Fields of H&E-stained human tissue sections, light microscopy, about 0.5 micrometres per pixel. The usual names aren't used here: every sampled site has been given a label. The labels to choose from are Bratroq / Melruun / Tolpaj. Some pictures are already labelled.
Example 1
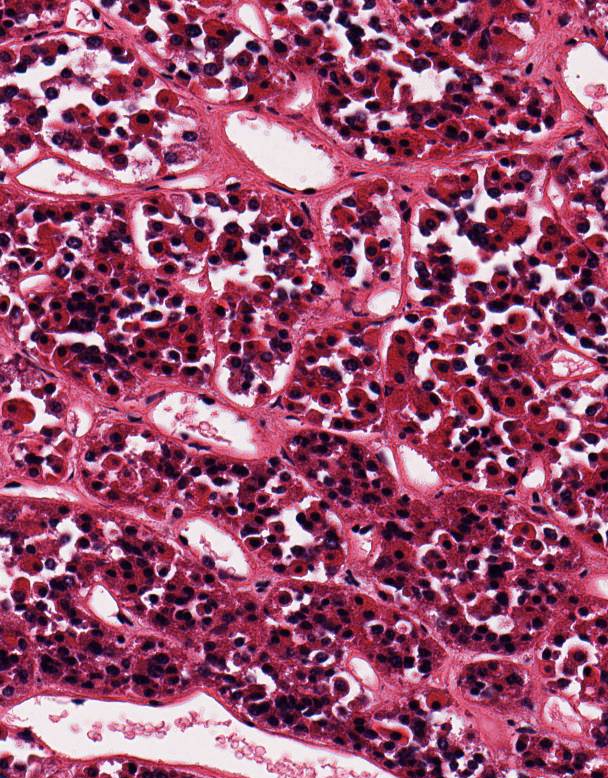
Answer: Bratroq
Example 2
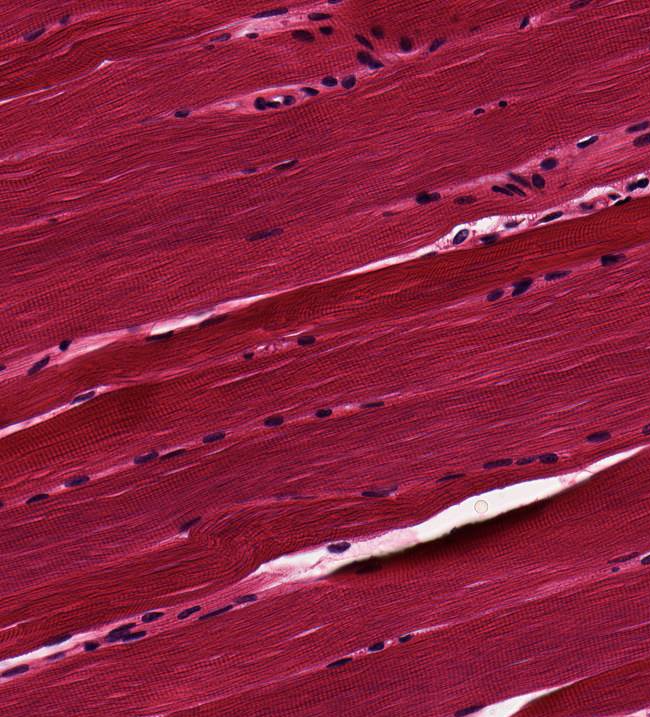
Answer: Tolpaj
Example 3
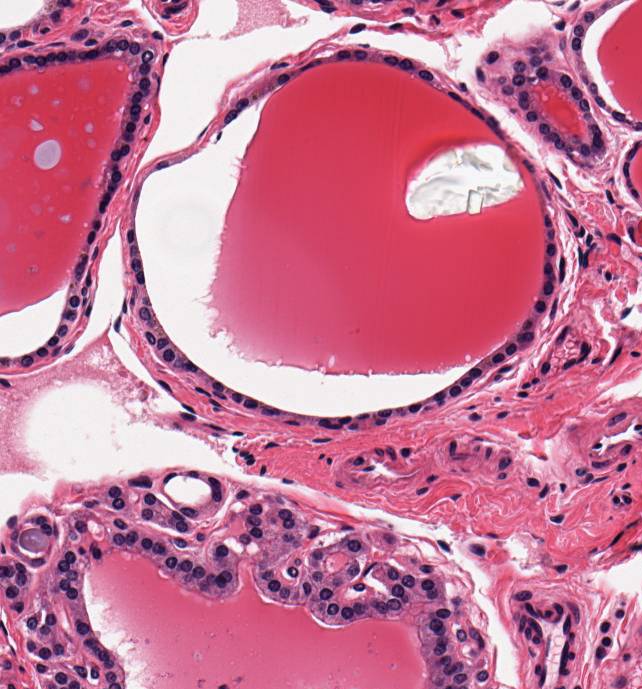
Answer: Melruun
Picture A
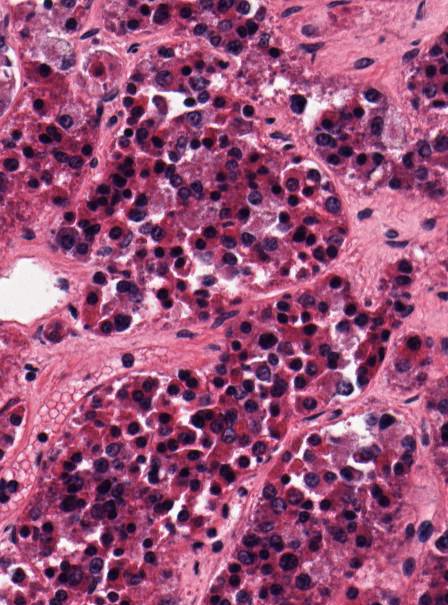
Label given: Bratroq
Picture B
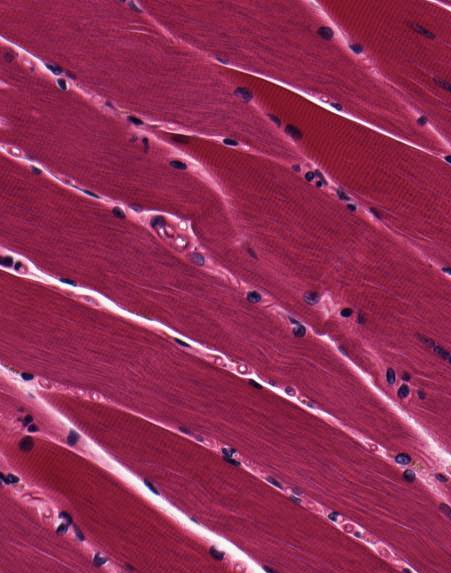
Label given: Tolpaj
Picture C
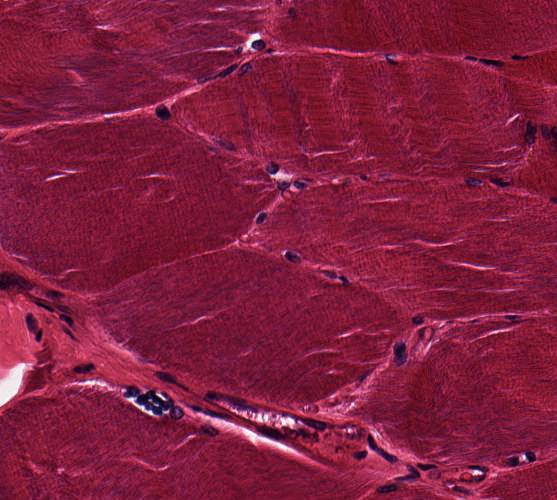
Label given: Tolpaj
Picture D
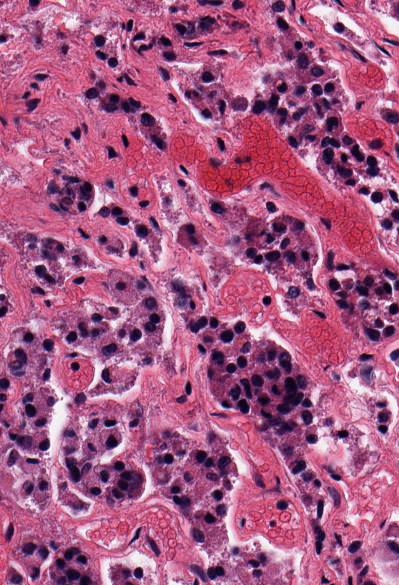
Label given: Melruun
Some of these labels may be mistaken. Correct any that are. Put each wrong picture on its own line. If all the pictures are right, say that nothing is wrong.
D should be Bratroq, not Melruun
